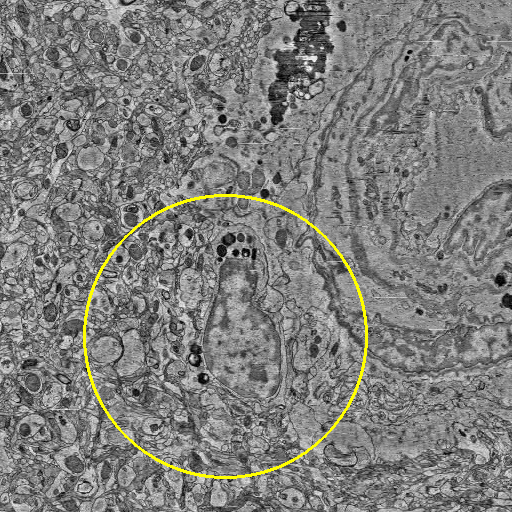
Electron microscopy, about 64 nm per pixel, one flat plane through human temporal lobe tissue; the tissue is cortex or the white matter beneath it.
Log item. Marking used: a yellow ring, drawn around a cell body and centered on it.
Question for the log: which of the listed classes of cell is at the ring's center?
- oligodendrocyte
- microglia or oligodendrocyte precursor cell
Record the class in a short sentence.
At the center of the ring lies a microglial cell or oligodendrocyte precursor cell.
